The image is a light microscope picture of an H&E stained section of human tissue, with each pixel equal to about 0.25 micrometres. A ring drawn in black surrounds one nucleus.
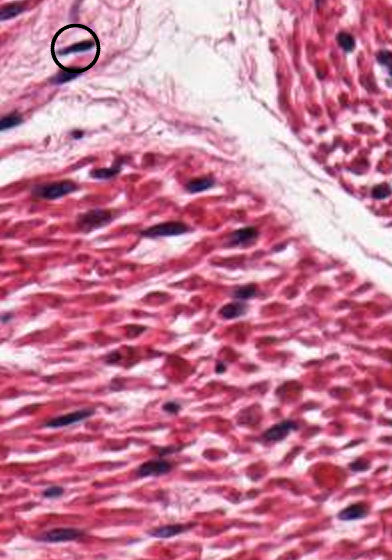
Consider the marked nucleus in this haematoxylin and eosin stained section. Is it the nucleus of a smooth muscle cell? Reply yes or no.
no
